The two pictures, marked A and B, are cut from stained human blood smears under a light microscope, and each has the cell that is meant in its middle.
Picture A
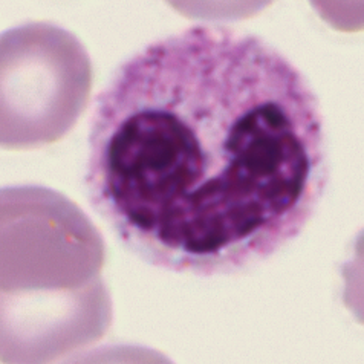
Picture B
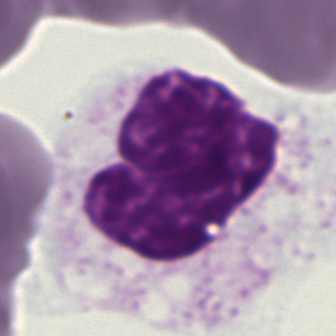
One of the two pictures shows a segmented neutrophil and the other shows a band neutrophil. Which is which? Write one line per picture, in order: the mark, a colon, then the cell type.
A: band neutrophil
B: segmented neutrophil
